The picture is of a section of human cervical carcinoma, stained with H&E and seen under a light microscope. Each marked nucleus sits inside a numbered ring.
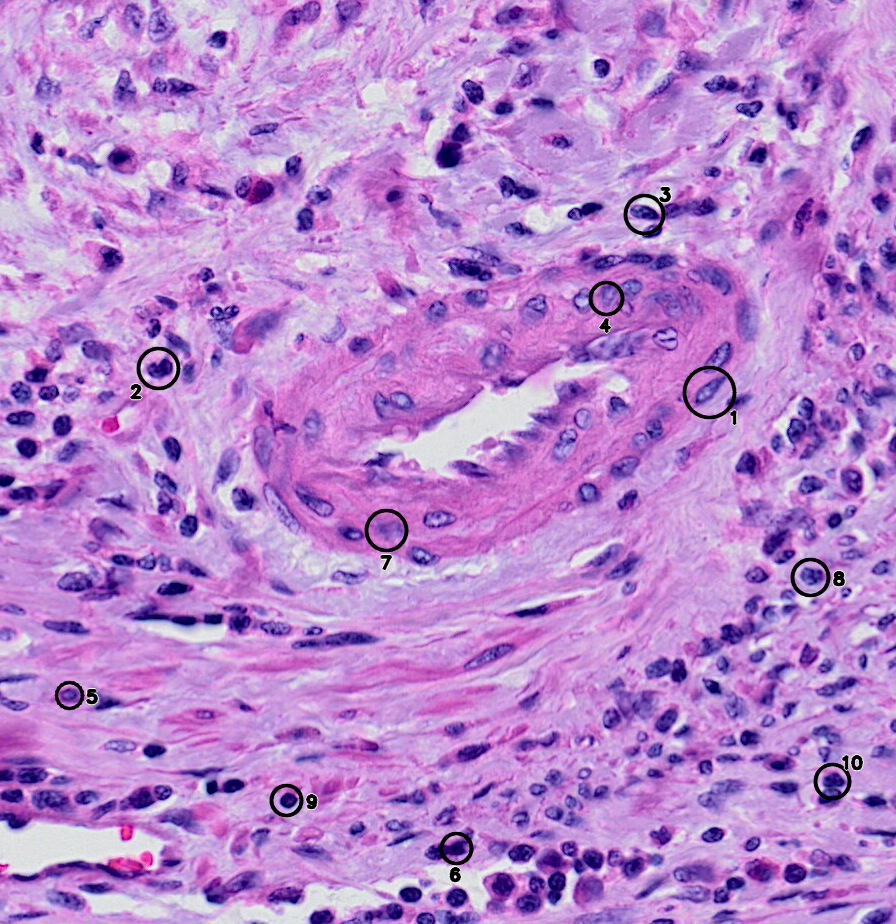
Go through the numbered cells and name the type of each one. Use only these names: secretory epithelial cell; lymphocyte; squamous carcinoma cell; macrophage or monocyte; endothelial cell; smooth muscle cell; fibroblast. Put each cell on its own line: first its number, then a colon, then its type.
1: smooth muscle cell
2: lymphocyte
3: lymphocyte
4: smooth muscle cell
5: smooth muscle cell
6: lymphocyte
7: smooth muscle cell
8: lymphocyte
9: lymphocyte
10: lymphocyte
